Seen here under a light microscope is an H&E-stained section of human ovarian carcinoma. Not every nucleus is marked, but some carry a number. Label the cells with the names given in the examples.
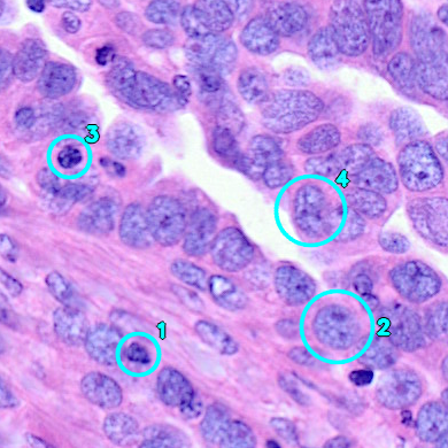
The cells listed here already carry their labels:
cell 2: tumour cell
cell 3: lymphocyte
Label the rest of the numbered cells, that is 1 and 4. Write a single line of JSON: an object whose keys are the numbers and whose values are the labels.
{"1": "lymphocyte", "4": "tumour cell"}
